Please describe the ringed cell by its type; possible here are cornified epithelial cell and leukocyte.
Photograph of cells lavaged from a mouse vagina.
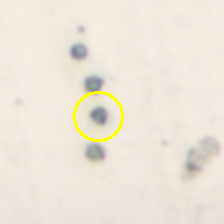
The yellow ring marks a leukocyte.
